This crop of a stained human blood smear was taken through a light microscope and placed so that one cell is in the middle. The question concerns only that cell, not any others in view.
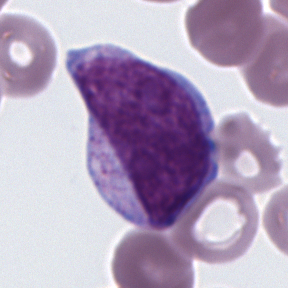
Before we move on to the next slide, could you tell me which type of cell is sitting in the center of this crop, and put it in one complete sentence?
The cell in the exact centre of the crop is an atypical promyelocyte.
